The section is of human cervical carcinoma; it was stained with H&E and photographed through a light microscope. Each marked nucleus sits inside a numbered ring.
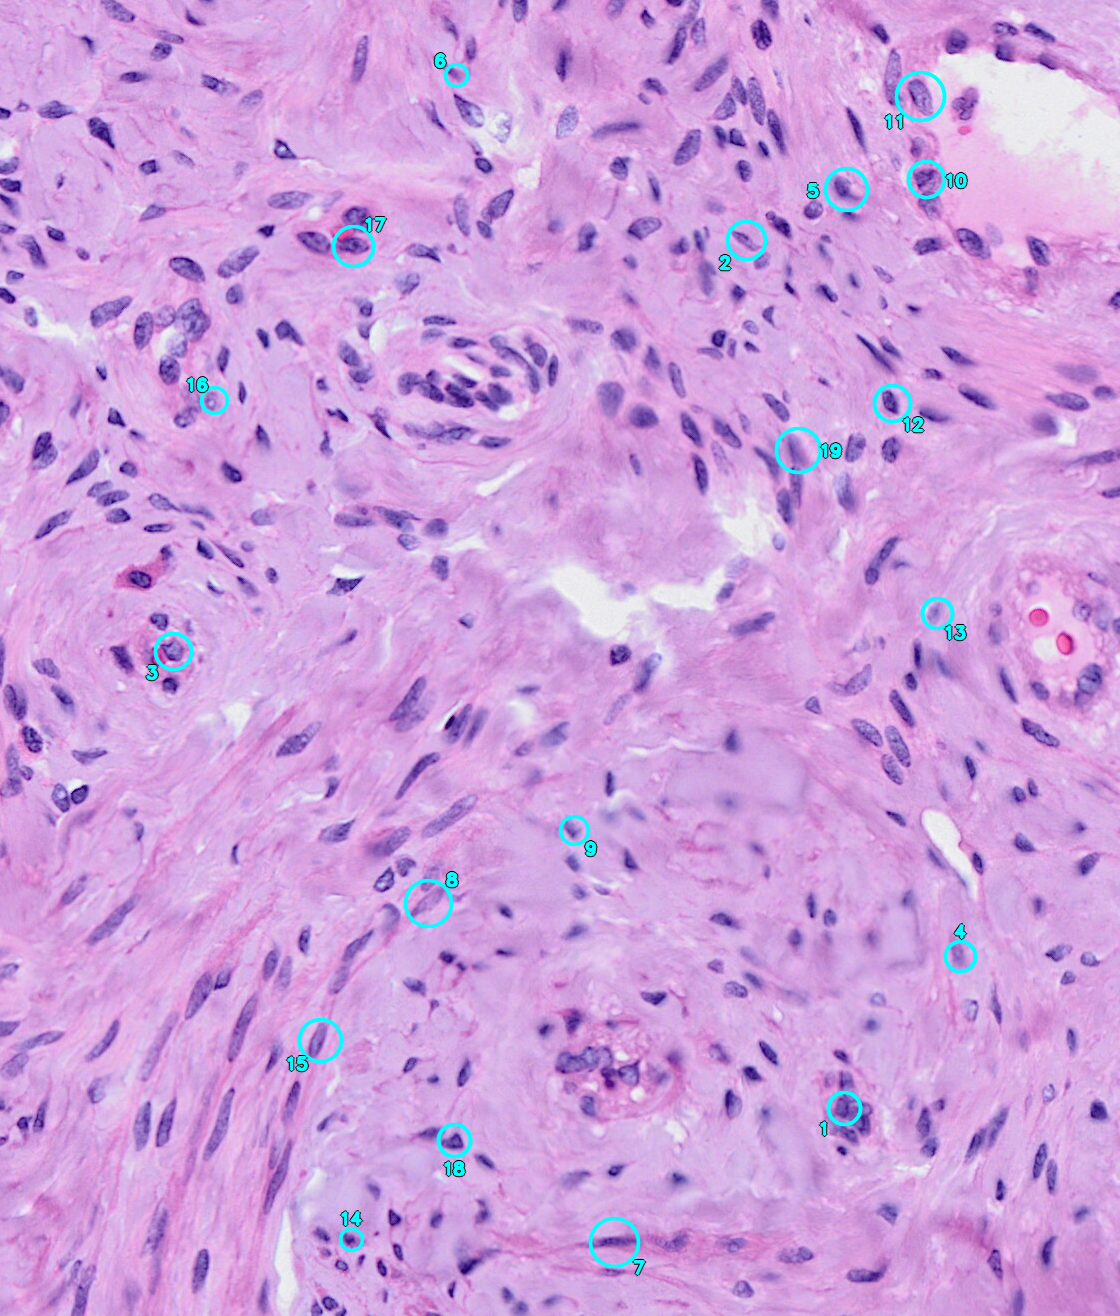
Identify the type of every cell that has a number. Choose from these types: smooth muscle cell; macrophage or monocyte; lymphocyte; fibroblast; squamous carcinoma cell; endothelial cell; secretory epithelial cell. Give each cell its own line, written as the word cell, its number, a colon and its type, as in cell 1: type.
cell 1: endothelial cell
cell 2: fibroblast
cell 3: endothelial cell
cell 4: smooth muscle cell
cell 5: fibroblast
cell 6: smooth muscle cell
cell 7: smooth muscle cell
cell 8: smooth muscle cell
cell 9: fibroblast
cell 10: endothelial cell
cell 11: endothelial cell
cell 12: fibroblast
cell 13: fibroblast
cell 14: smooth muscle cell
cell 15: smooth muscle cell
cell 16: smooth muscle cell
cell 17: endothelial cell
cell 18: fibroblast
cell 19: fibroblast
